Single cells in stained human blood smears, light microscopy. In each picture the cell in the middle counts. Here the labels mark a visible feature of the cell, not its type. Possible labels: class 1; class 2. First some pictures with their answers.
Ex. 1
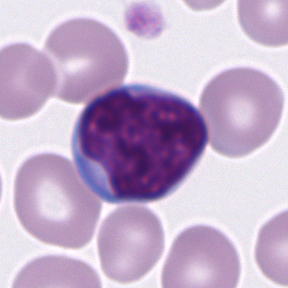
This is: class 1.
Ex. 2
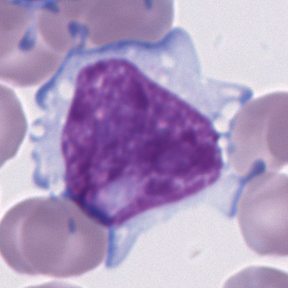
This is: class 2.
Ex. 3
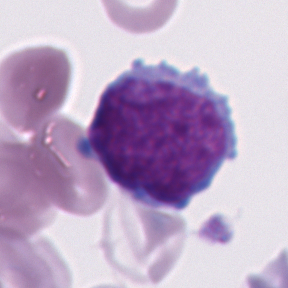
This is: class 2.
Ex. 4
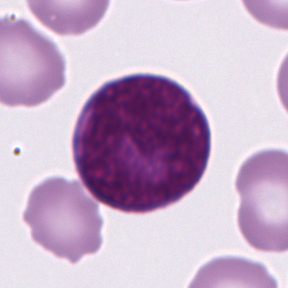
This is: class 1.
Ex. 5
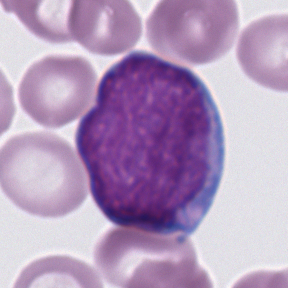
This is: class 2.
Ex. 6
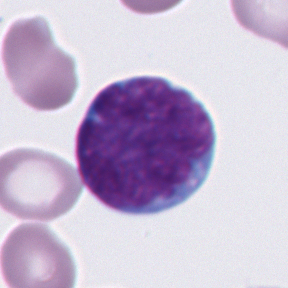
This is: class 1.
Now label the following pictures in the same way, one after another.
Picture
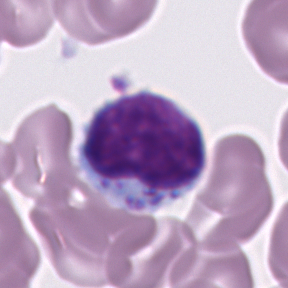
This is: class 2.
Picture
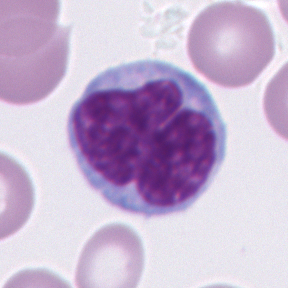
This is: class 1.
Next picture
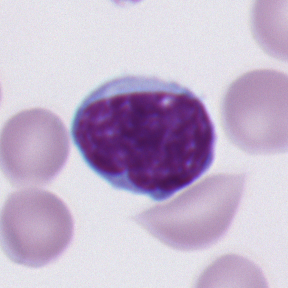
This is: class 1.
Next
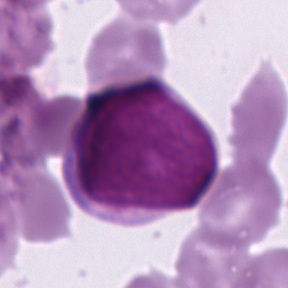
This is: class 1.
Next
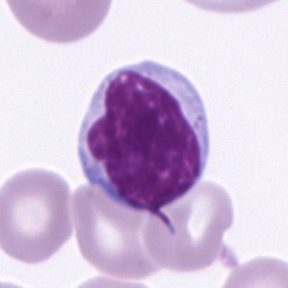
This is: class 1.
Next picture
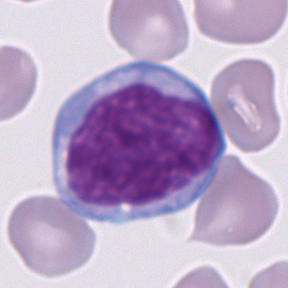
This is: class 1.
